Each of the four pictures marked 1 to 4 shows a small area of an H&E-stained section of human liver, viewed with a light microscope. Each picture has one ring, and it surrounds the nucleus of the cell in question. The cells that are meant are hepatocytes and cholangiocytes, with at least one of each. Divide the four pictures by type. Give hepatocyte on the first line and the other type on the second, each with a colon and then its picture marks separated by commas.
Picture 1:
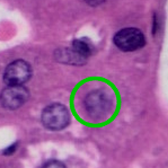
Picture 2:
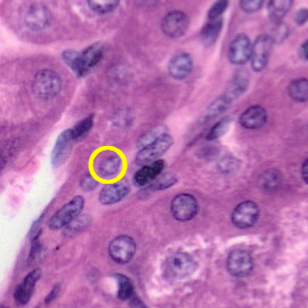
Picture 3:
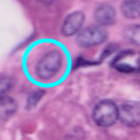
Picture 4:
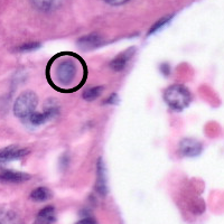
hepatocyte: 1
cholangiocyte: 2, 3, 4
